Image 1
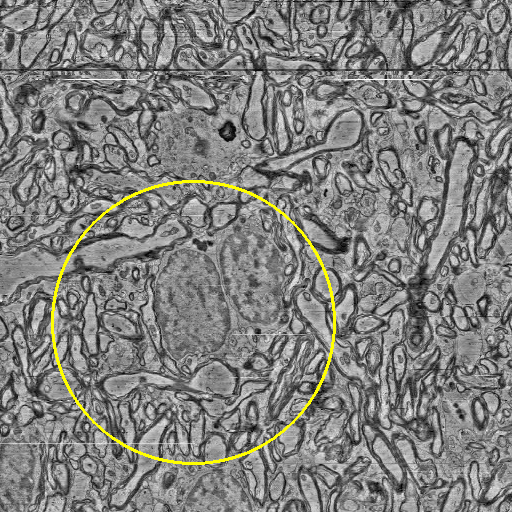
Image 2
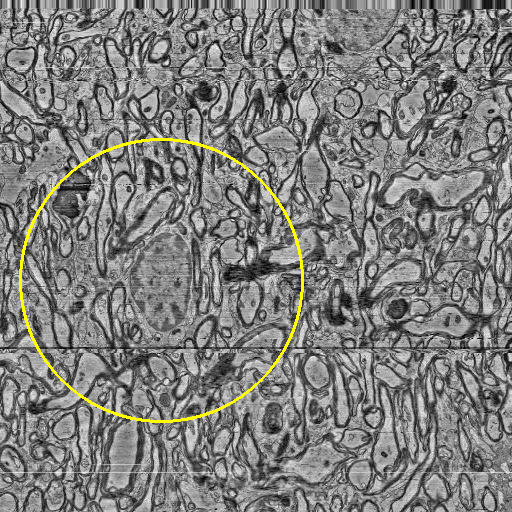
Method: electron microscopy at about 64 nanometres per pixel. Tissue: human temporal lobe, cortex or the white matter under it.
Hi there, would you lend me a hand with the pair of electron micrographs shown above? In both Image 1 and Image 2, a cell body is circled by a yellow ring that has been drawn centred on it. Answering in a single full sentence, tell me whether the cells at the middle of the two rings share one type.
No, the ringed cells in Image 1 and Image 2 belong to two types.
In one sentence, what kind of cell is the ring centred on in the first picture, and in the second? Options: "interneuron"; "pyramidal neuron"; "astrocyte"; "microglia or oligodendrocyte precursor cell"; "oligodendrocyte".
The cell at the centre of the second ring is a microglial cell or oligodendrocyte precursor cell; the first ring's cell is an oligodendrocyte.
